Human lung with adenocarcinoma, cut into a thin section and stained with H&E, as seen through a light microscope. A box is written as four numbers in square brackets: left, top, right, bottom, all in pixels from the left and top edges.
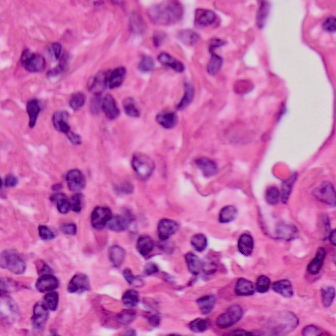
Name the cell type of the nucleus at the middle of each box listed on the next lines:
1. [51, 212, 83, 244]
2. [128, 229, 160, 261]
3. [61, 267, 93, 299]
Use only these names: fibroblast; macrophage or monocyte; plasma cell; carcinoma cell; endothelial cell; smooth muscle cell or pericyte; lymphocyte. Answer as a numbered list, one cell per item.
1. lymphocyte
2. plasma cell
3. lymphocyte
